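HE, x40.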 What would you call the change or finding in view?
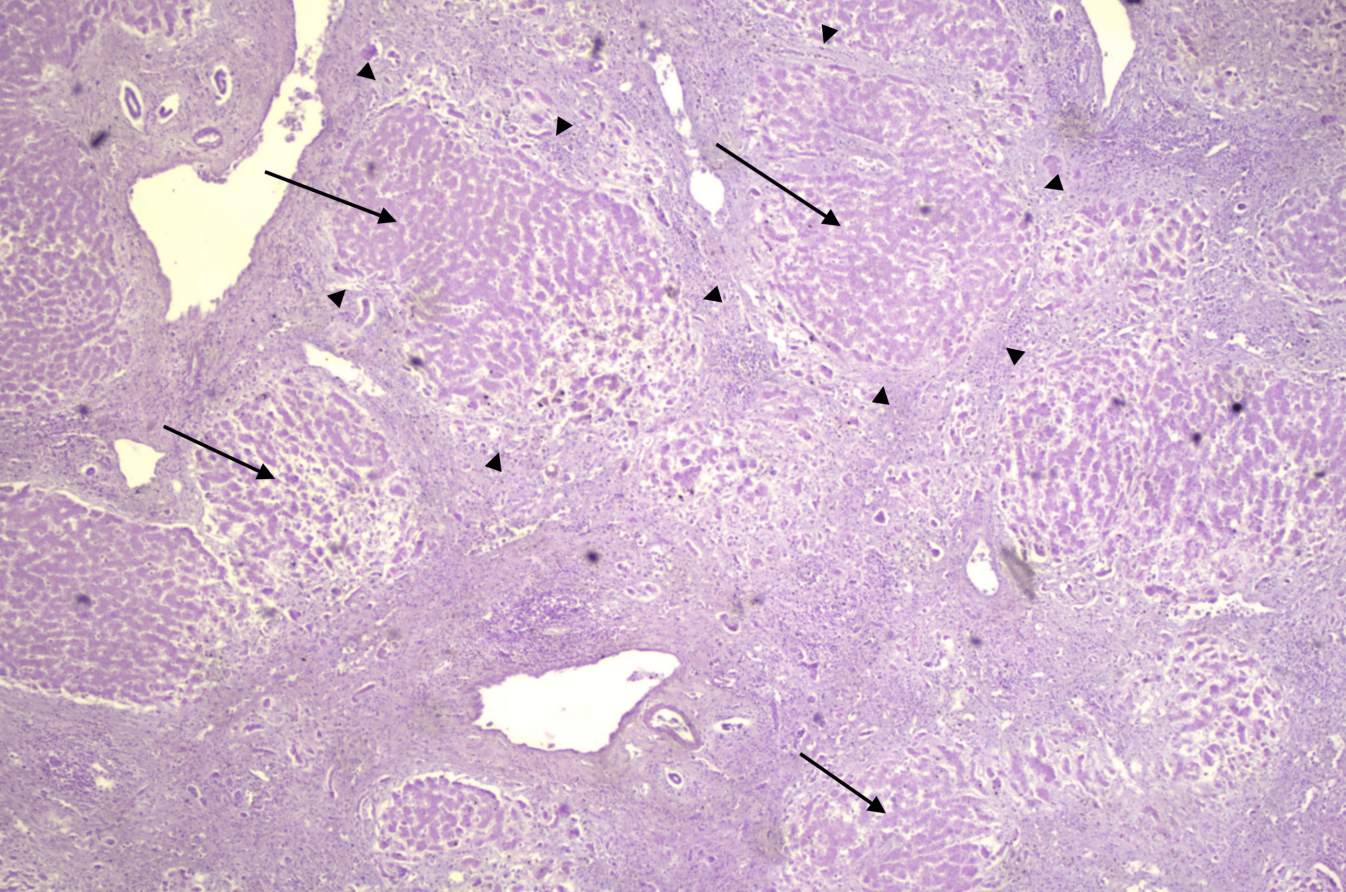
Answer: Wide septa of fibrosis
